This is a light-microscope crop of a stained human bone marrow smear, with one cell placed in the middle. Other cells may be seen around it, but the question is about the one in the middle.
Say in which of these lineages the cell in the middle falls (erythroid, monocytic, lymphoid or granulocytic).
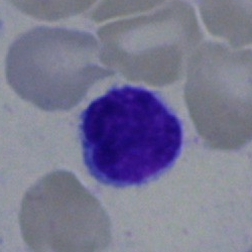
lymphoid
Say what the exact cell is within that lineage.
lymphocyte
